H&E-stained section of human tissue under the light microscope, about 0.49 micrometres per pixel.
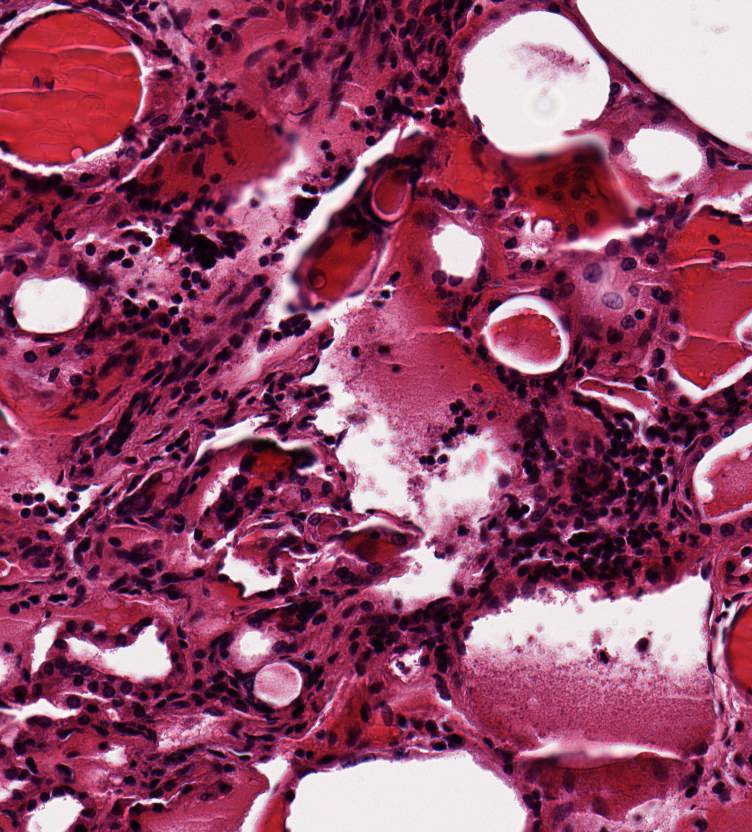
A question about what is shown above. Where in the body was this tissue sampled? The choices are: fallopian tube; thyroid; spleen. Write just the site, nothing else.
thyroid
